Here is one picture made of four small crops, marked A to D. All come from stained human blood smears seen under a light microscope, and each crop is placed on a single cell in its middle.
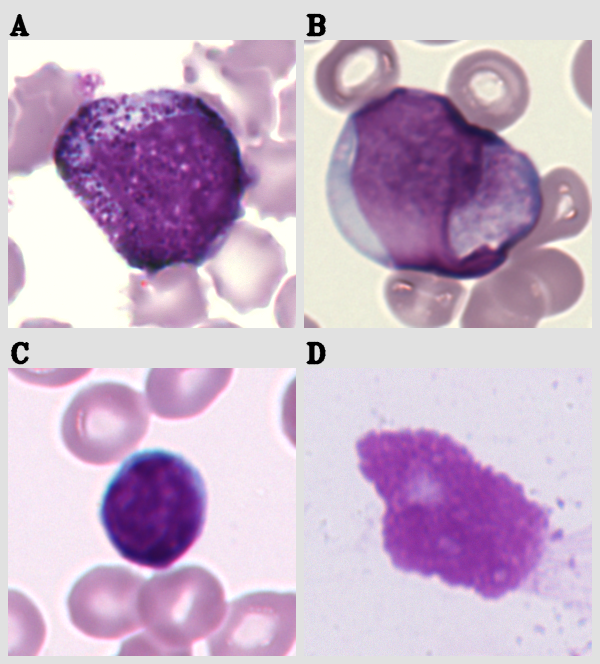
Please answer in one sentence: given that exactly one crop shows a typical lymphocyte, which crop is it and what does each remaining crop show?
Crop C goes down as a typical lymphocyte, while crop A is a myelocyte, crop B is an atypical promyelocyte and crop D is a smudge cell.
